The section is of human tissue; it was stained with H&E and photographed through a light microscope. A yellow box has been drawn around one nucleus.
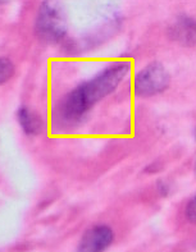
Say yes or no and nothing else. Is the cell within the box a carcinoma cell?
no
